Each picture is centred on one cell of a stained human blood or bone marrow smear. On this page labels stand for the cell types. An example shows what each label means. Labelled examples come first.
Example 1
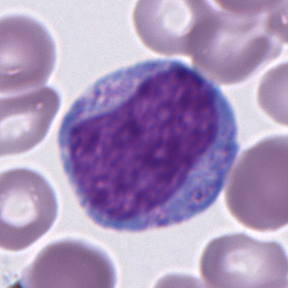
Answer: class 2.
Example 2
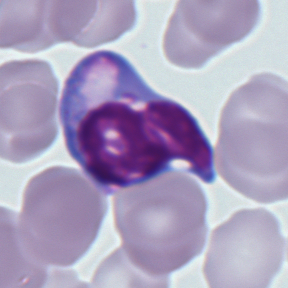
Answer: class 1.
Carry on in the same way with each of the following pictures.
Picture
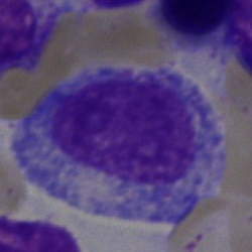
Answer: class 2.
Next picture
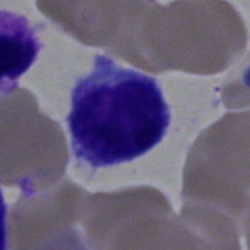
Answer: class 1.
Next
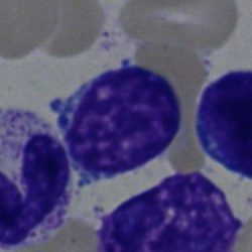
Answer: class 1.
